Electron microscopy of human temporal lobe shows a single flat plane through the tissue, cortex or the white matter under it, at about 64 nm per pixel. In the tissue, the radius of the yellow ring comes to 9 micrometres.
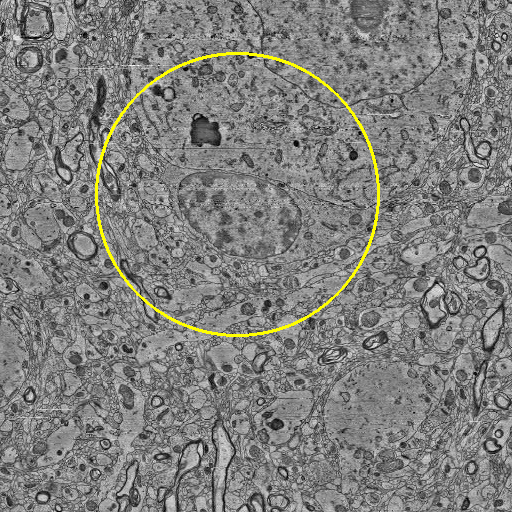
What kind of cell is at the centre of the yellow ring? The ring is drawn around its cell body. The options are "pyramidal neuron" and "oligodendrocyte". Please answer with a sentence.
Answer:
The yellow ring marks the cell body of an oligodendrocyte.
